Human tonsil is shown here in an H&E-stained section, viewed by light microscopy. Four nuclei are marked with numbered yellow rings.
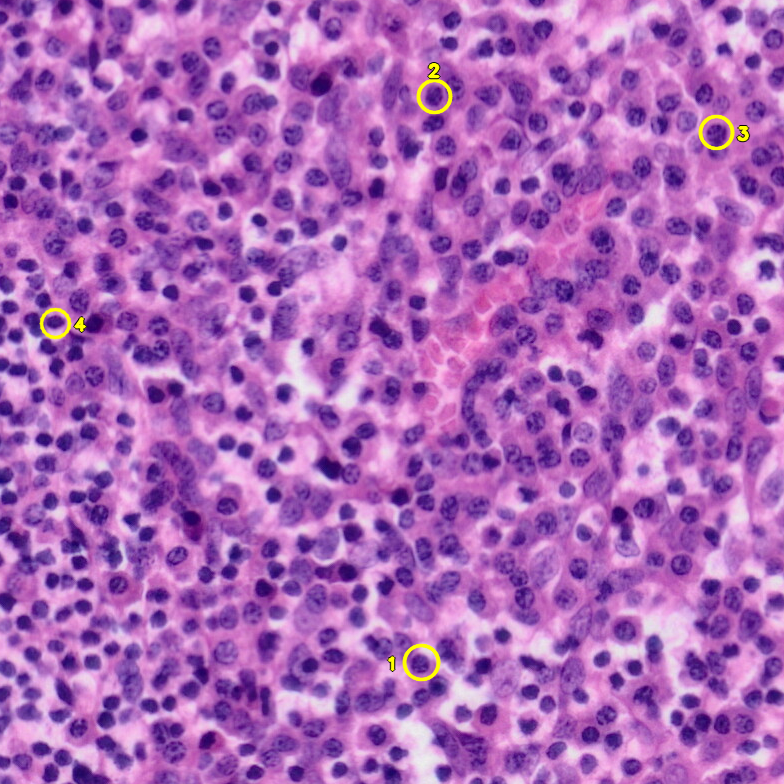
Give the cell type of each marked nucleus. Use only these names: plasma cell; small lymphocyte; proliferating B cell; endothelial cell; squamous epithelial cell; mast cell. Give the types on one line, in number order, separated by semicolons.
plasma cell; plasma cell; plasma cell; small lymphocyte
